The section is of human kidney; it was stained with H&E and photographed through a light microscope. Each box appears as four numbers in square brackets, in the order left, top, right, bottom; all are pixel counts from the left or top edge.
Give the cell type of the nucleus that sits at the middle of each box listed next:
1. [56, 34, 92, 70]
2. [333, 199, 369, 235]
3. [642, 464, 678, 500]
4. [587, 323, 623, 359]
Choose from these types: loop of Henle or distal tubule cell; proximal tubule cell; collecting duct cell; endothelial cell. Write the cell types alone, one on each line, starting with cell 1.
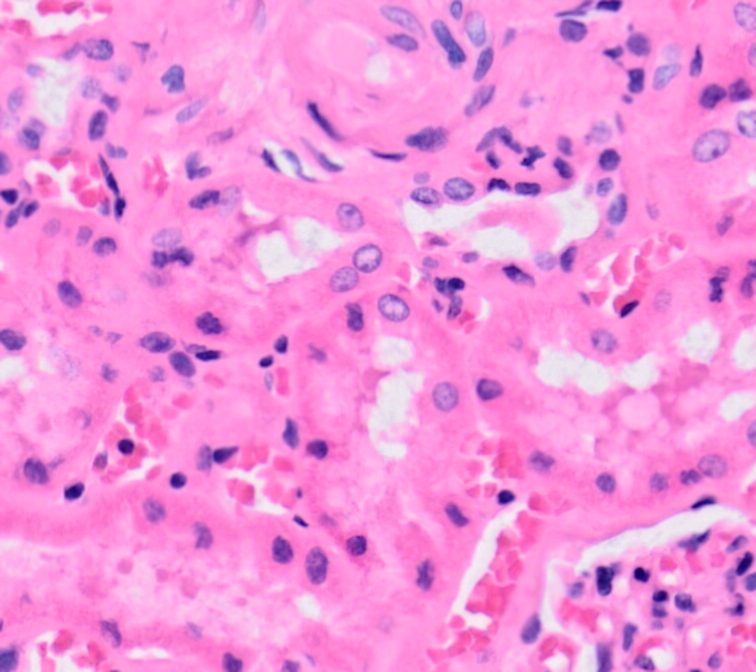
collecting duct cell
proximal tubule cell
proximal tubule cell
proximal tubule cell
